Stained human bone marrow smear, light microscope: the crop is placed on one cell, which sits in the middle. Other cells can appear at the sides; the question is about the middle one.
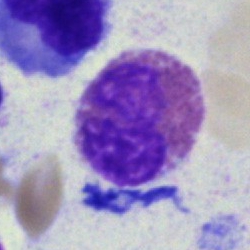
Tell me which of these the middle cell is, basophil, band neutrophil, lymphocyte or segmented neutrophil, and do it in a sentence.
At the middle of the frame sits a basophil.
